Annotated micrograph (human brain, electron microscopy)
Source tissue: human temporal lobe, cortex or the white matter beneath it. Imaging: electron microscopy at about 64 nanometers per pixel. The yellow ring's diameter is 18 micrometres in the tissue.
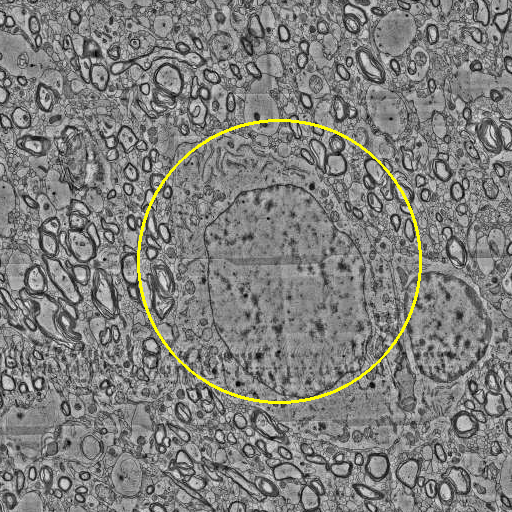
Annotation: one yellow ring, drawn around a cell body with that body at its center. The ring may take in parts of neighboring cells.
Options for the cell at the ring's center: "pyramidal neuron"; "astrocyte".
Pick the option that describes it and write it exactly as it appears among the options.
pyramidal neuron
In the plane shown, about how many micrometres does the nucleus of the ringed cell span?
The nucleus is approximately 14 micrometers long by 10 micrometers wide in this plane.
